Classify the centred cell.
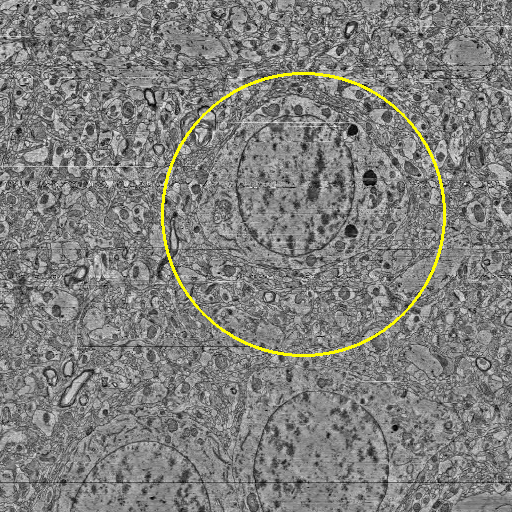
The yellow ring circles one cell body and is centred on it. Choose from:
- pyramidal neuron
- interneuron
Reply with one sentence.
The ring is centred on a pyramidal neuron.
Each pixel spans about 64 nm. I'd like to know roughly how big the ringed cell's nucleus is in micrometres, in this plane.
The nucleus works out at approximately 9 by 8 micrometres in this plane.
